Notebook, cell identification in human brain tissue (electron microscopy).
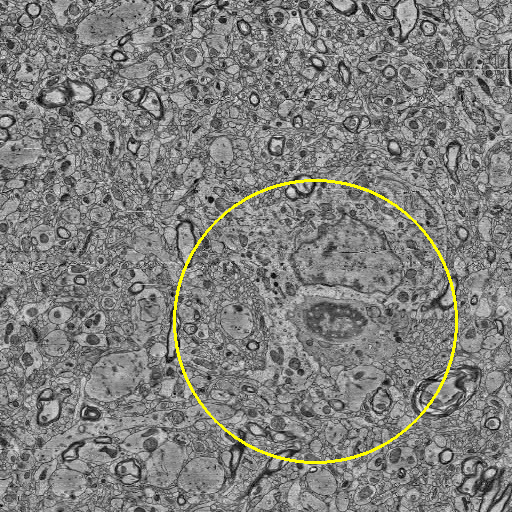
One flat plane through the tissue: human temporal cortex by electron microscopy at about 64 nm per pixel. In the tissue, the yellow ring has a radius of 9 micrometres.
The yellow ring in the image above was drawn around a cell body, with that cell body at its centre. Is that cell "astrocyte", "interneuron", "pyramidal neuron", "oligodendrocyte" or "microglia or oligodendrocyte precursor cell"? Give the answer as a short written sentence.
The cell in the ring is an oligodendrocyte.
